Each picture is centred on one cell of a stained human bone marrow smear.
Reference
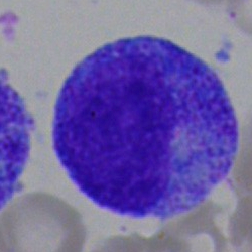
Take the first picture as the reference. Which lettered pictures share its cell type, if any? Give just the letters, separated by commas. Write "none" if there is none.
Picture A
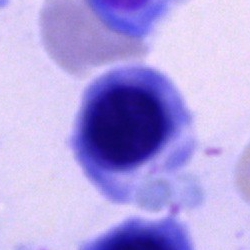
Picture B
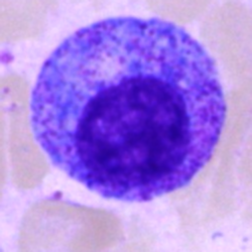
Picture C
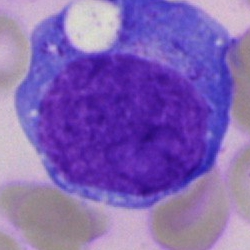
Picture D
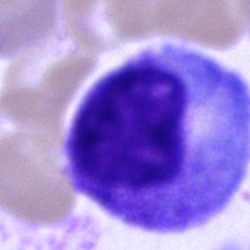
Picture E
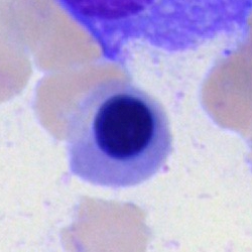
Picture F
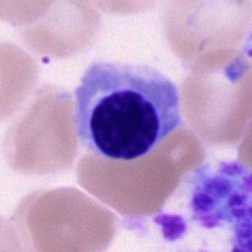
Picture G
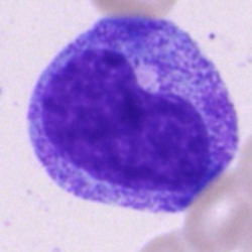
B, D, G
